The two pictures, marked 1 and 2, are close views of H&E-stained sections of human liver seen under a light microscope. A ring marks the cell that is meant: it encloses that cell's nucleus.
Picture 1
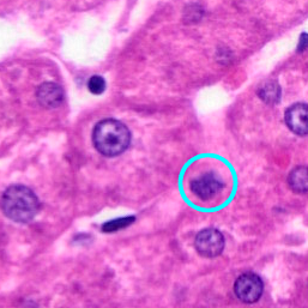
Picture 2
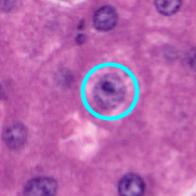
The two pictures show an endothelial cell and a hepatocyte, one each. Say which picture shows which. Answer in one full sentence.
In picture 1 the cell is an endothelial cell; in picture 2, a hepatocyte.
